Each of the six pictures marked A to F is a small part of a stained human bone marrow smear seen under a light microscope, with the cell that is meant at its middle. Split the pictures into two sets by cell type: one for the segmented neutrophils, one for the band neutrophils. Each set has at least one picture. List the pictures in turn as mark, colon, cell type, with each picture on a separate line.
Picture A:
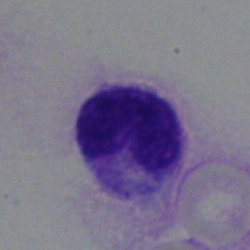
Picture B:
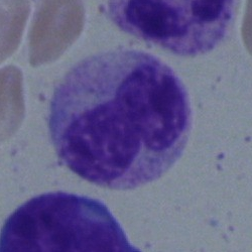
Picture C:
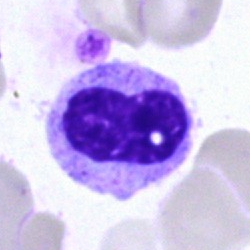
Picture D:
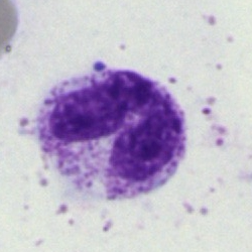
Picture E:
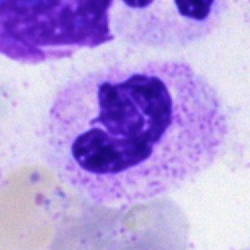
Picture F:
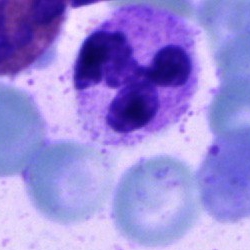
A: band neutrophil
B: band neutrophil
C: band neutrophil
D: band neutrophil
E: segmented neutrophil
F: segmented neutrophil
